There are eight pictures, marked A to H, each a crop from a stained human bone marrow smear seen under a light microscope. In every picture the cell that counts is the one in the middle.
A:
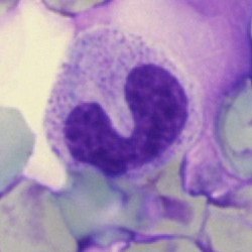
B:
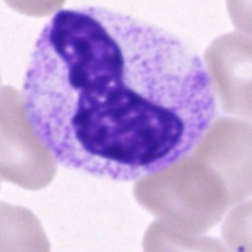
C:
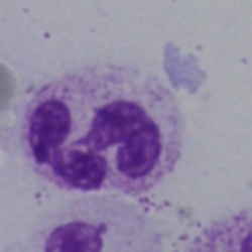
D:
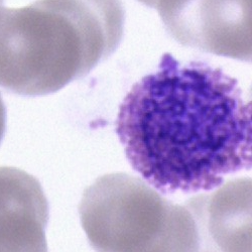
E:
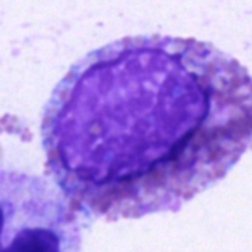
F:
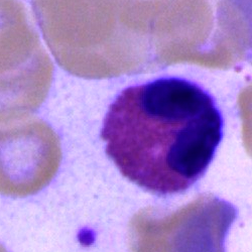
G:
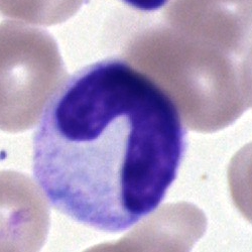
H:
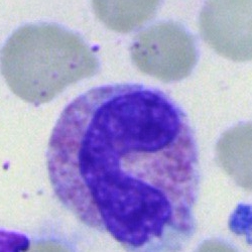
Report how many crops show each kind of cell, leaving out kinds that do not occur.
eosinophil: 4
band neutrophil: 3
segmented neutrophil: 1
